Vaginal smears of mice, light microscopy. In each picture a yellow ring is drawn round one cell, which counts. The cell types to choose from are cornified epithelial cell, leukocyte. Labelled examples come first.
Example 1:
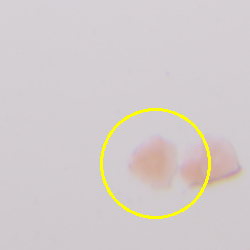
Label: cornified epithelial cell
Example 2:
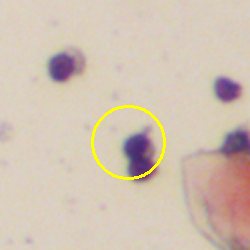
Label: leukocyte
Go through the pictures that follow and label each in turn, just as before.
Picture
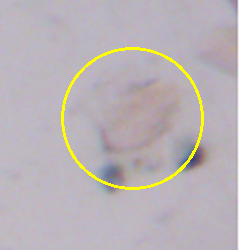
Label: cornified epithelial cell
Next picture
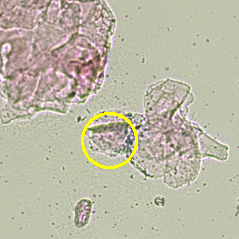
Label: cornified epithelial cell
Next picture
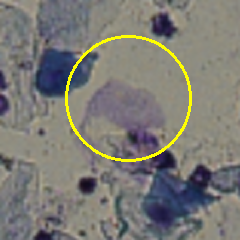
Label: cornified epithelial cell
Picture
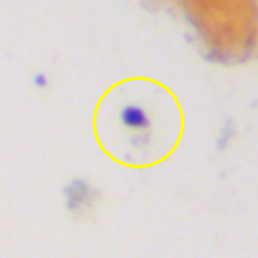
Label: leukocyte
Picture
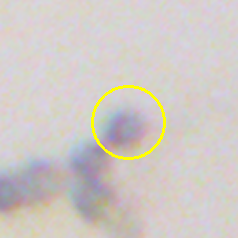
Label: leukocyte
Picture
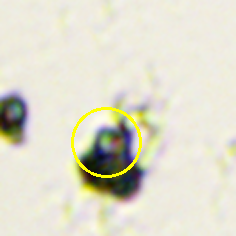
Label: leukocyte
